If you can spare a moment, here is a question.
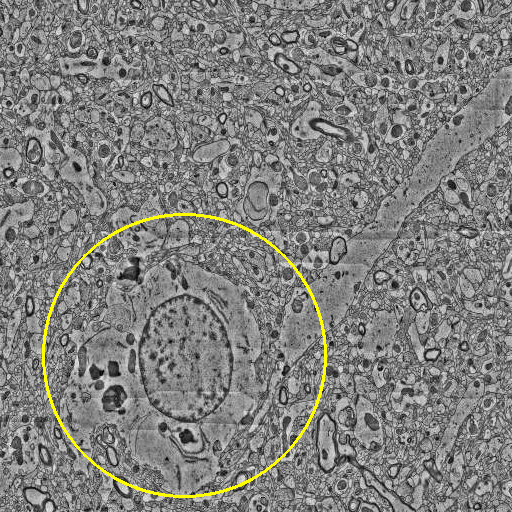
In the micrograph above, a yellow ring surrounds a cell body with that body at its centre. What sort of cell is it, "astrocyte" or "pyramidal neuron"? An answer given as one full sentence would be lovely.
Centred inside the yellow ring, the cell body shown belongs to an astrocyte in this micrograph.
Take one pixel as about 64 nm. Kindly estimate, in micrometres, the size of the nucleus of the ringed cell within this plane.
Approximately 8 by 6 micrometers in this plane.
